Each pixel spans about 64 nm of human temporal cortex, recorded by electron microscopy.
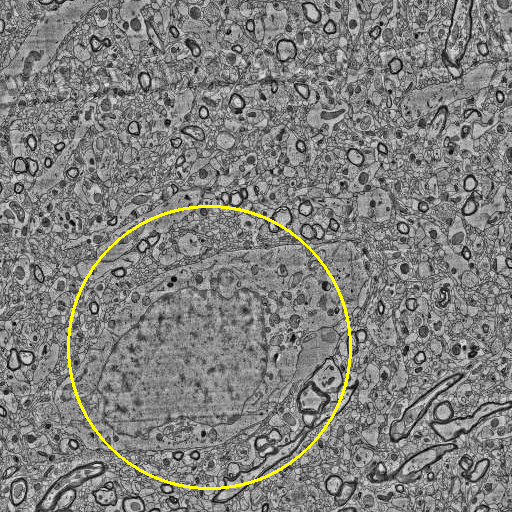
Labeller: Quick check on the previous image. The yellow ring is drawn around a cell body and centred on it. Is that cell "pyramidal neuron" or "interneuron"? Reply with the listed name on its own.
interneuron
